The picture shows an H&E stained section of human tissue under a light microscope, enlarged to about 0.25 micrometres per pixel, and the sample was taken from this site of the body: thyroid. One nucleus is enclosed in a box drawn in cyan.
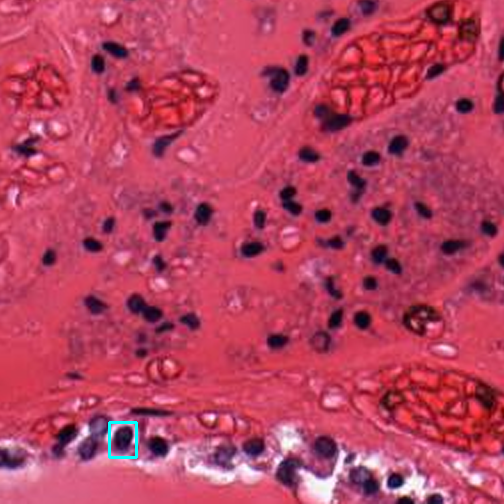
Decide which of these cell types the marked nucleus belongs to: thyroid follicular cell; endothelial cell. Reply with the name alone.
thyroid follicular cell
